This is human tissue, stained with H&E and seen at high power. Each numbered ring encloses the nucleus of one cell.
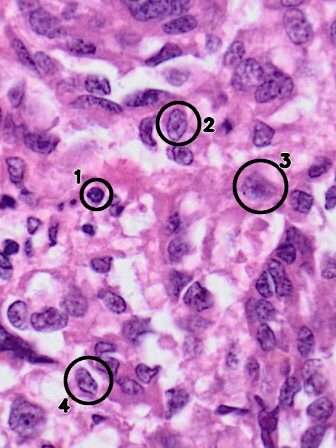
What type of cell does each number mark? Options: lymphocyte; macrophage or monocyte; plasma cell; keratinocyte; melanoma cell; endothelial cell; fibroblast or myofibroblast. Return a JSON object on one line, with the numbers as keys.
{"1": "lymphocyte", "2": "melanoma cell", "3": "melanoma cell", "4": "melanoma cell"}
